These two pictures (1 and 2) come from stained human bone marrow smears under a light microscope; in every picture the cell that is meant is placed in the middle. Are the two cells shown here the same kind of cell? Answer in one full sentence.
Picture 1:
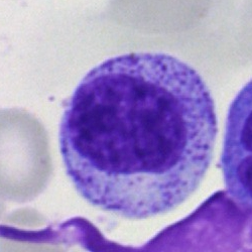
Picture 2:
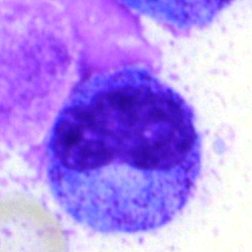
Yes, they are the same type: both are myelocytes.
